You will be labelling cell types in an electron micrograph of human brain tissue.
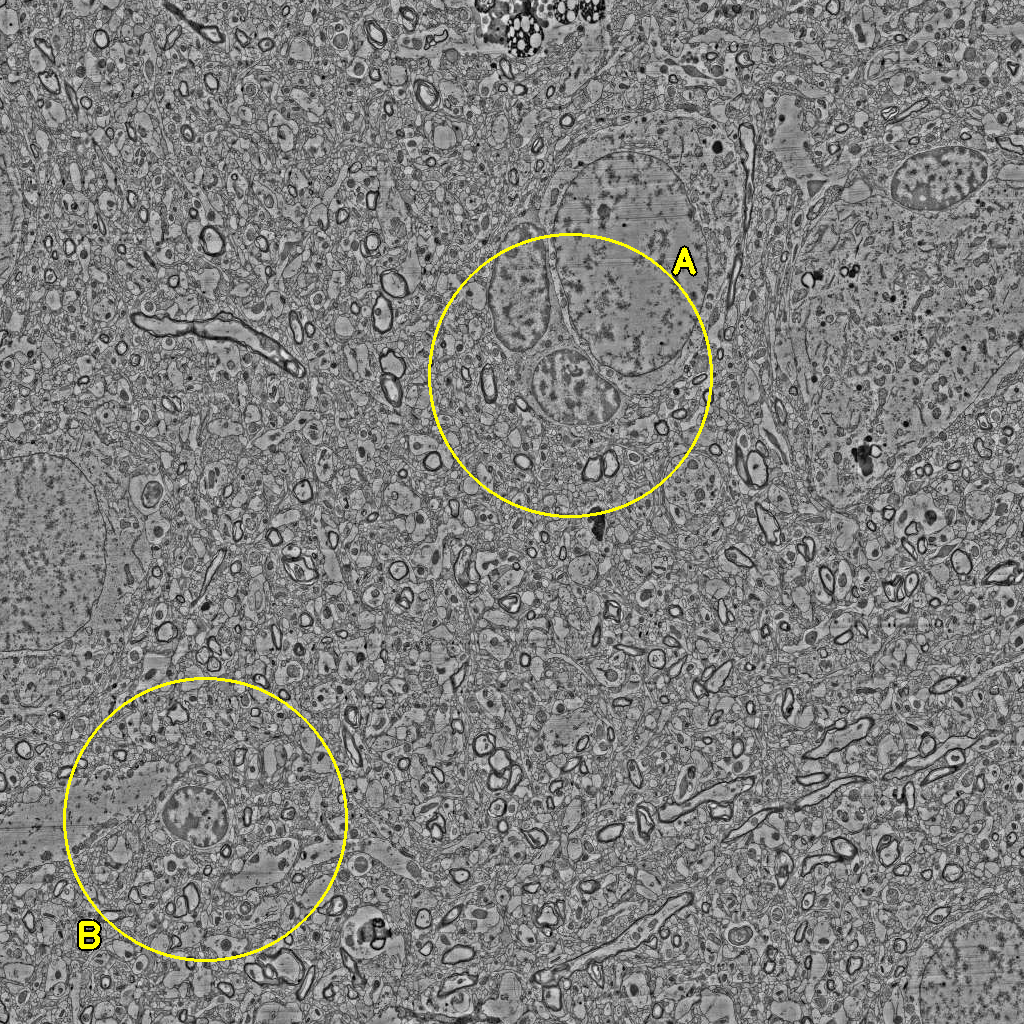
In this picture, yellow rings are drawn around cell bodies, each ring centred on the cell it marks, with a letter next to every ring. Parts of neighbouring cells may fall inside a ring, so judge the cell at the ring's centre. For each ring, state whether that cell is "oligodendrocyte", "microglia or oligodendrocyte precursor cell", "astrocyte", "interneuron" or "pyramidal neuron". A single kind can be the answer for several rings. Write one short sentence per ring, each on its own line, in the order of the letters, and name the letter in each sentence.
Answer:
Ring A contains an oligodendrocyte at its centre.
Ring B contains a microglial cell or oligodendrocyte precursor cell at its centre.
